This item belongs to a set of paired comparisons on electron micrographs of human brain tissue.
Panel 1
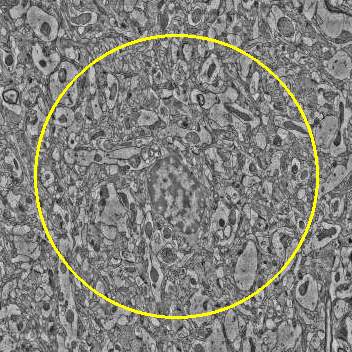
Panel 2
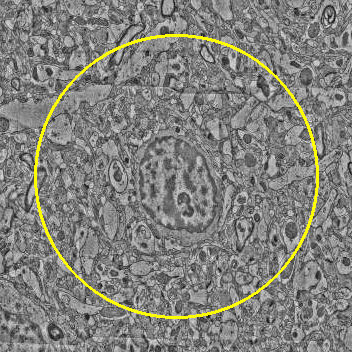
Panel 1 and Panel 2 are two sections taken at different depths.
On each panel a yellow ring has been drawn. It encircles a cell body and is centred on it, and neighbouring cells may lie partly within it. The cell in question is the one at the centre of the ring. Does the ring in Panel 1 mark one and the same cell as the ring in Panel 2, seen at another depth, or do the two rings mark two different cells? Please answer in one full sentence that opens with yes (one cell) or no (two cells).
Yes, each ring singles out the same cell.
